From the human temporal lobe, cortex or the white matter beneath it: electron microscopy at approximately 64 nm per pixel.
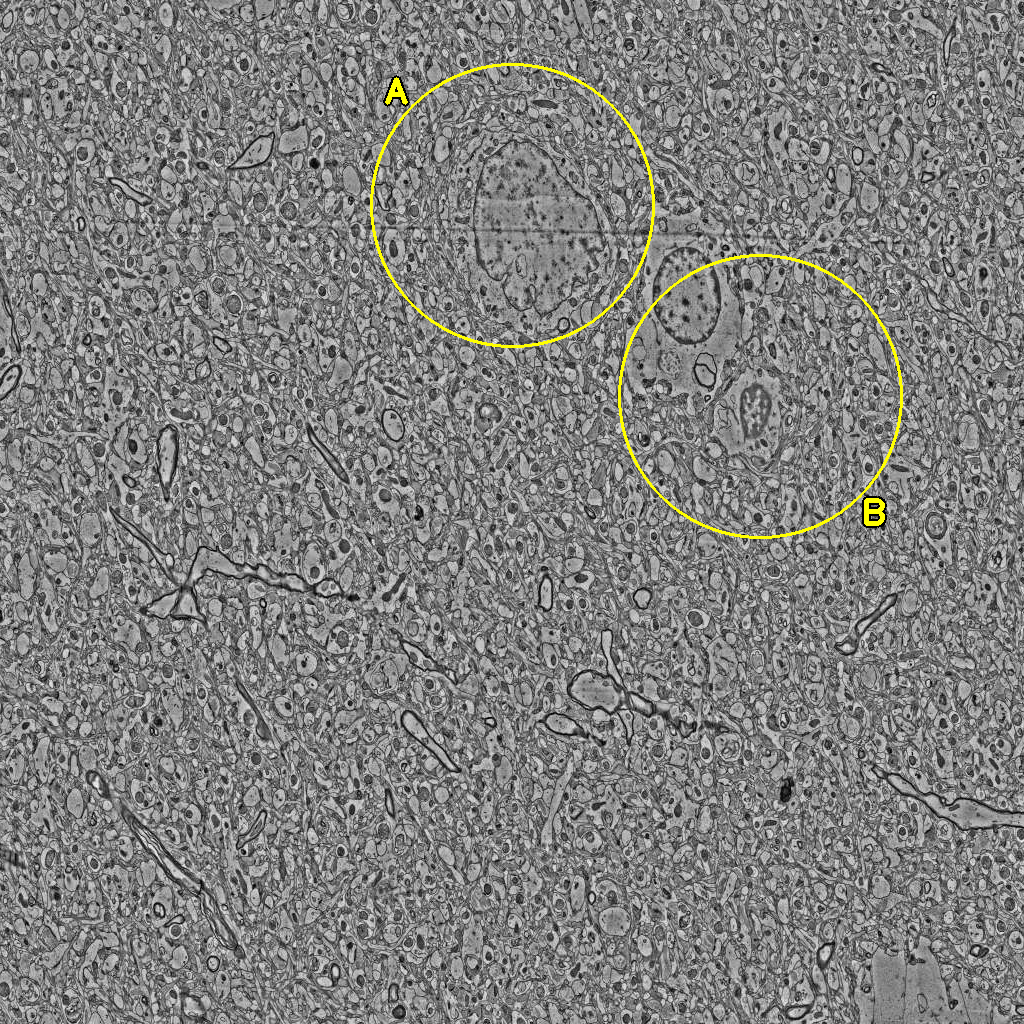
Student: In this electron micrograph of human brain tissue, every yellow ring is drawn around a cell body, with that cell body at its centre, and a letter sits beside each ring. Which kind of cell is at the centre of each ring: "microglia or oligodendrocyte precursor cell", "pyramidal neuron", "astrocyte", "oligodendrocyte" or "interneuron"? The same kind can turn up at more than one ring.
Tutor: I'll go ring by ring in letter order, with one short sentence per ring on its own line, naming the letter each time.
Ring A: the cell at its centre is an interneuron.
Ring B: the cell at its centre is an astrocyte.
